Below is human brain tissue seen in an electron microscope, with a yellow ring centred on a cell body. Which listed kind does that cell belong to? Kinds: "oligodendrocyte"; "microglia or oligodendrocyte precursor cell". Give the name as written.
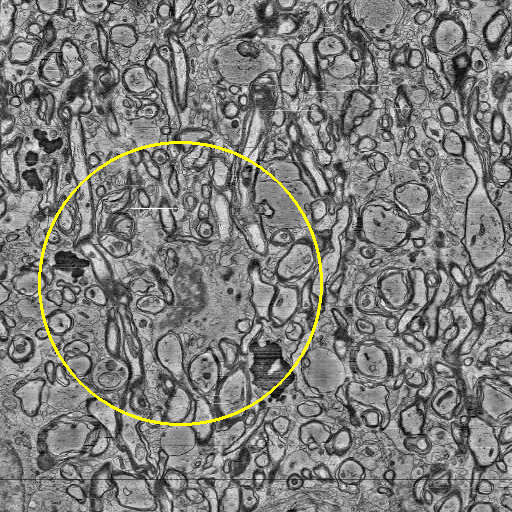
oligodendrocyte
